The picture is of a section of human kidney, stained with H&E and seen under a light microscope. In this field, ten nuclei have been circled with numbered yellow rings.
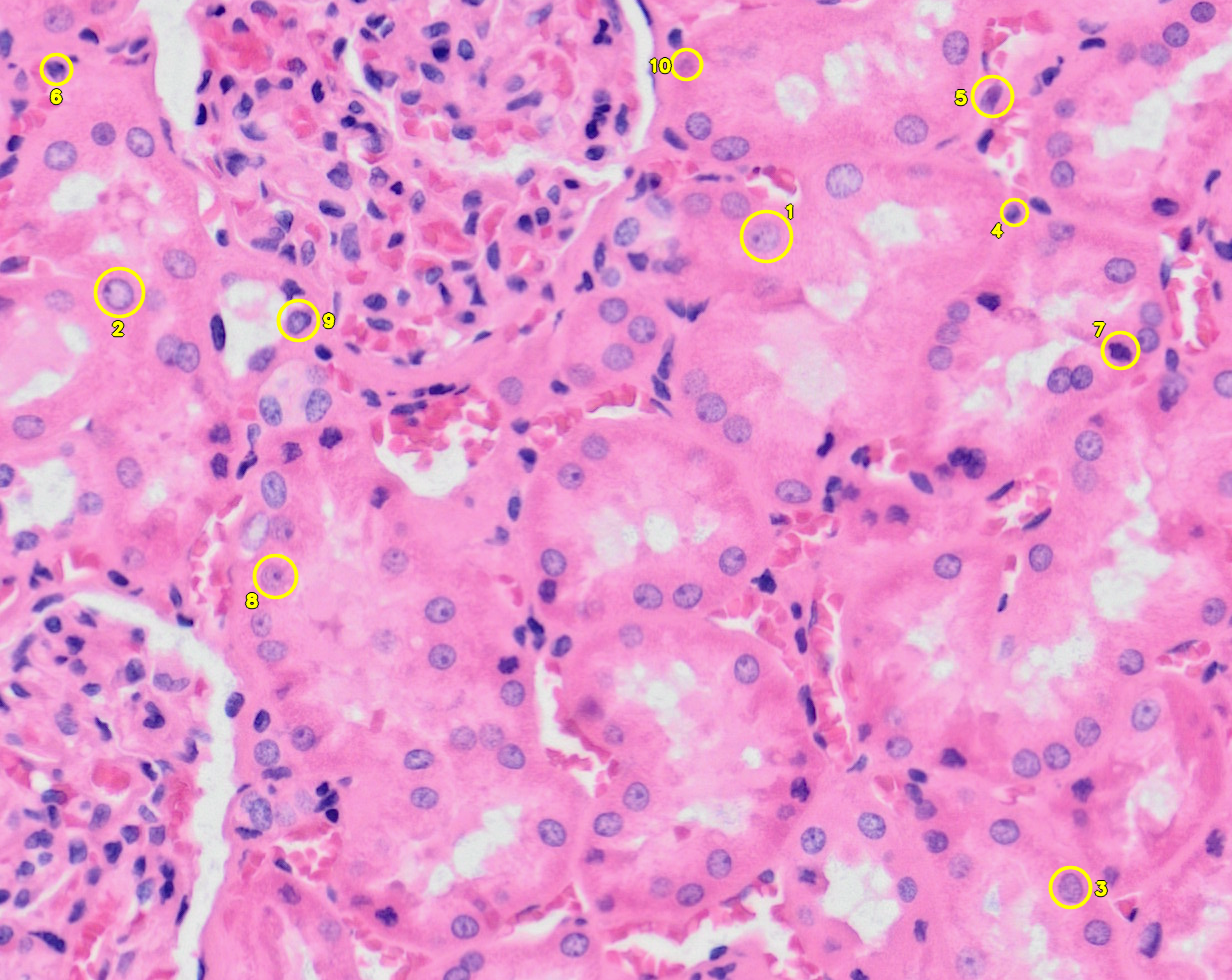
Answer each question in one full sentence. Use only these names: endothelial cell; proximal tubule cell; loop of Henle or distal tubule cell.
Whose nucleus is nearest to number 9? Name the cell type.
Closest to number 9 lies the nucleus of a loop of Henle or distal tubule cell.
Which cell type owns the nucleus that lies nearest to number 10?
The nearest nucleus to number 10 belongs to an endothelial cell.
